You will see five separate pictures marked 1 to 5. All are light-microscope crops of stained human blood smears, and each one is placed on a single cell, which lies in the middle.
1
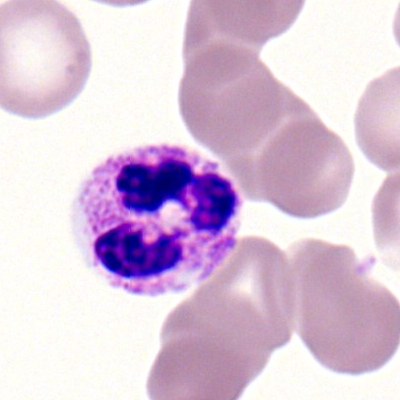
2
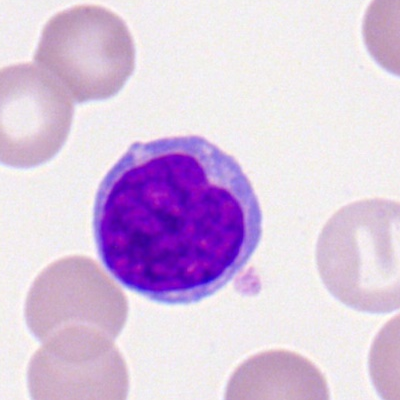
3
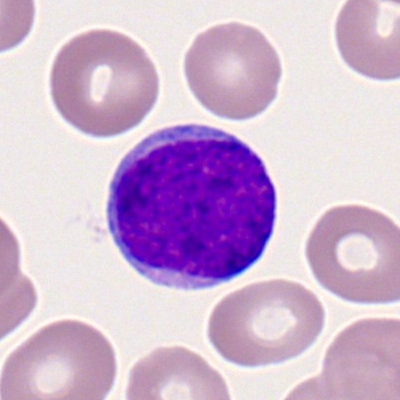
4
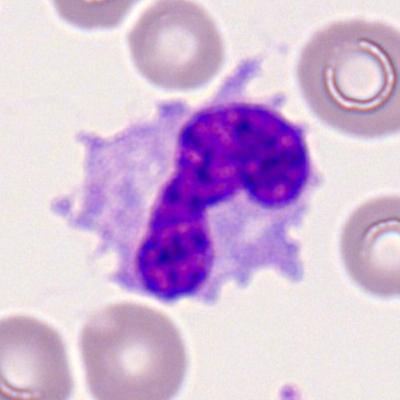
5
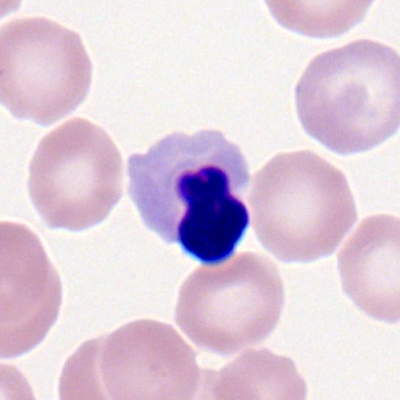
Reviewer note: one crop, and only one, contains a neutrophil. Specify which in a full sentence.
It is in crop 1 that a neutrophil is shown.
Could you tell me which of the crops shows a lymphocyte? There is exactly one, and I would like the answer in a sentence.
Within this set, crop 2 is the one with a lymphocyte at its center.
